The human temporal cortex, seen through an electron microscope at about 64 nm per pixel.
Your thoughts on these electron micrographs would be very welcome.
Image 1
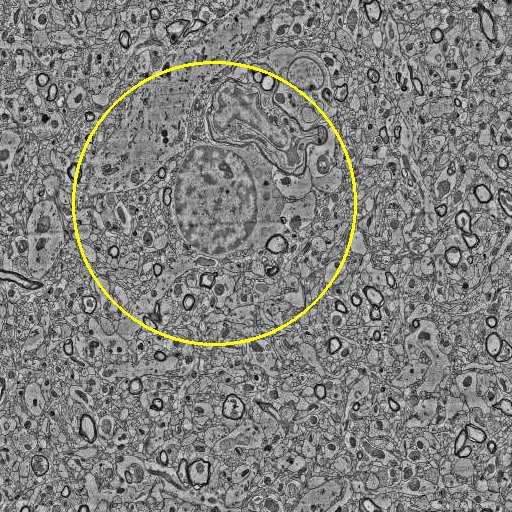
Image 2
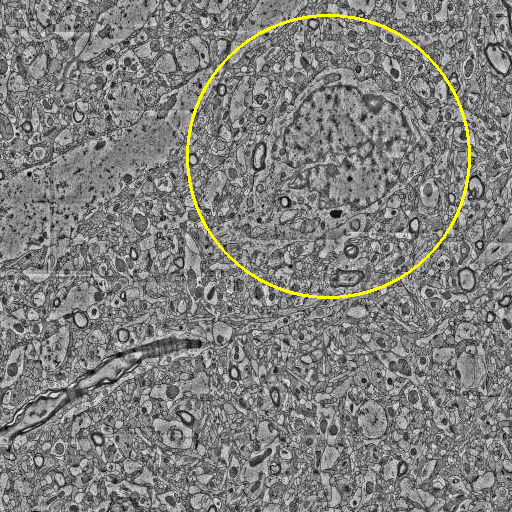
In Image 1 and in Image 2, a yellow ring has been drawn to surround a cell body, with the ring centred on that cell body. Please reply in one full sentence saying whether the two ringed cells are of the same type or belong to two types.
The ringed cells in Image 1 and Image 2 belong to two types.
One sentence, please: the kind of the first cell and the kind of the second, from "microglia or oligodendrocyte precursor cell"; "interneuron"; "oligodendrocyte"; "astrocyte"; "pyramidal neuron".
The ring in the first picture surrounds an oligodendrocyte, and the ring in the second surrounds an interneuron.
